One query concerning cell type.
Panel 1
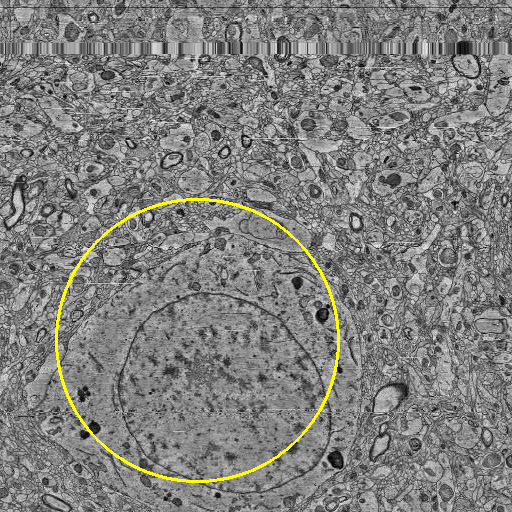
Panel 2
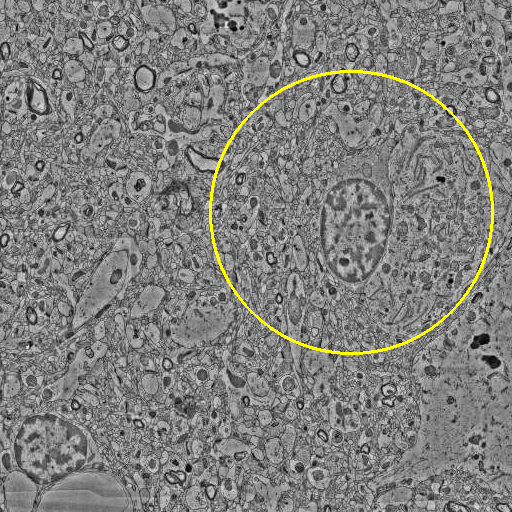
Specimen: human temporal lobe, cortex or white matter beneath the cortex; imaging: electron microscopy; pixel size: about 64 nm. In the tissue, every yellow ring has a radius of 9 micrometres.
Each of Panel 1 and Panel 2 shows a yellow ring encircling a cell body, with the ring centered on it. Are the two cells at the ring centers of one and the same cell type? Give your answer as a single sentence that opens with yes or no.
No, the cell centered in Panel 1 and the one in Panel 2 are of two types.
